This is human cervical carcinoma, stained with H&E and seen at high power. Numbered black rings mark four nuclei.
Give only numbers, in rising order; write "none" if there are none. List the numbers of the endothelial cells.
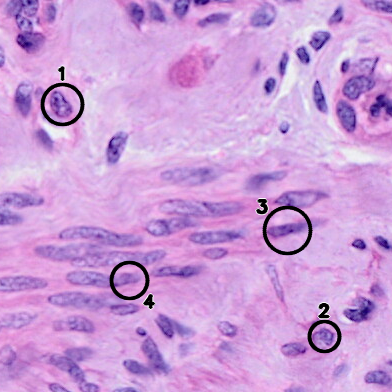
1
